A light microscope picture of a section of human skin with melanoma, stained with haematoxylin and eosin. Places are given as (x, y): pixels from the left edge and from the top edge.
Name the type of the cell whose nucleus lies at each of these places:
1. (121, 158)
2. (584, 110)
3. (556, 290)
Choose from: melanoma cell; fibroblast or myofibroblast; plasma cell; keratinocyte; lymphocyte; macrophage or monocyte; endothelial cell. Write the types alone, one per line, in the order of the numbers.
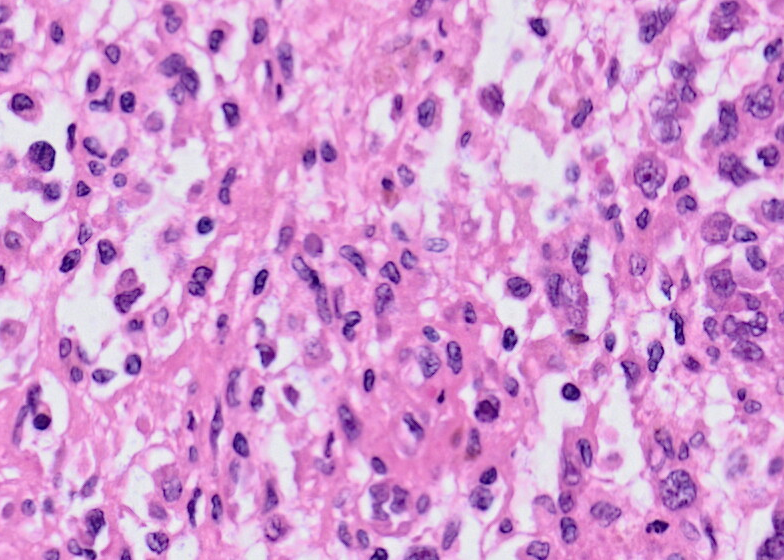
macrophage or monocyte
macrophage or monocyte
melanoma cell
